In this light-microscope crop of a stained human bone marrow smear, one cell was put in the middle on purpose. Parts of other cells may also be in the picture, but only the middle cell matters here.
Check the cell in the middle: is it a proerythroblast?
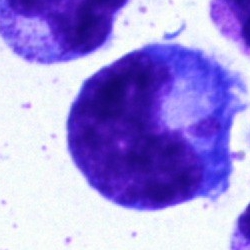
no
